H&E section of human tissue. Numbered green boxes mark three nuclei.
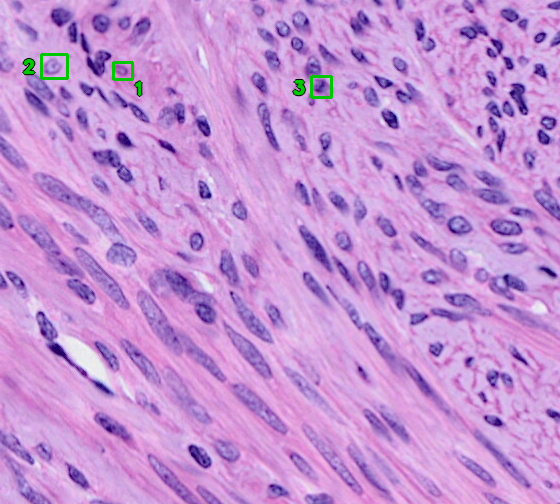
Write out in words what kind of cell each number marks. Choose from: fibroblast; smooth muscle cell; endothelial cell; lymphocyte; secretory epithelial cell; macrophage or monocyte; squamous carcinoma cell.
Cells 1 and 3 are smooth muscle cells. Cell 2 is a fibroblast.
